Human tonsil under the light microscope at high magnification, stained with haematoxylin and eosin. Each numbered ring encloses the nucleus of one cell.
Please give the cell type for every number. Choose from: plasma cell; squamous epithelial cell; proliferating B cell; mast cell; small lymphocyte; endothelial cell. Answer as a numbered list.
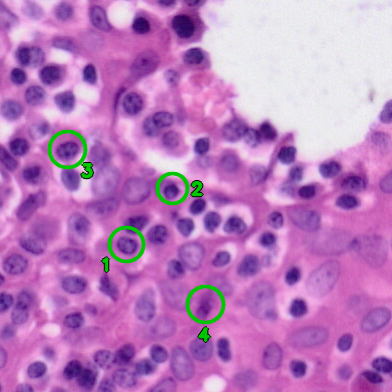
1. plasma cell
2. squamous epithelial cell
3. plasma cell
4. squamous epithelial cell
